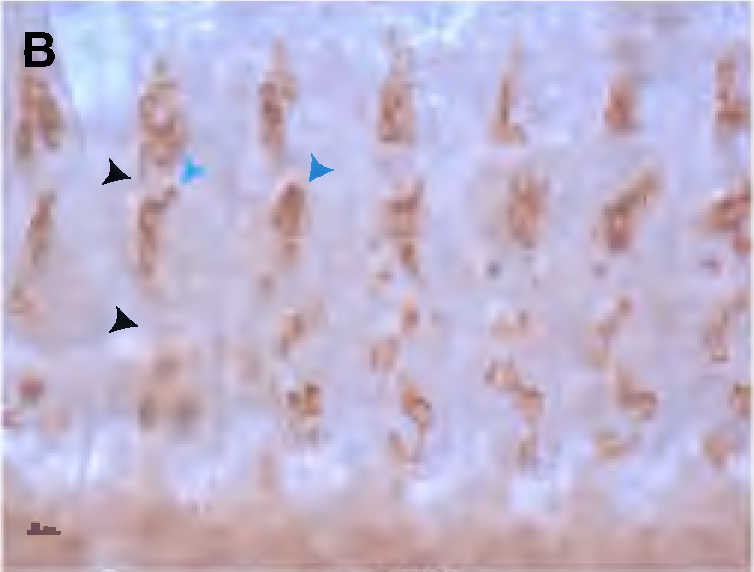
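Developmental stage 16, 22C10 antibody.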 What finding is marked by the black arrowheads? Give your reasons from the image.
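Loss of connection between the three groups of sensory neurons. The black arrowheads point to unstained gaps in a segmental row. Brown clusters above and below the gaps are not joined by a stained strand.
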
